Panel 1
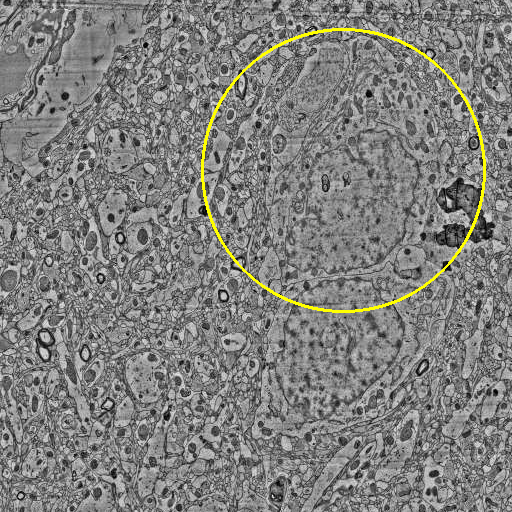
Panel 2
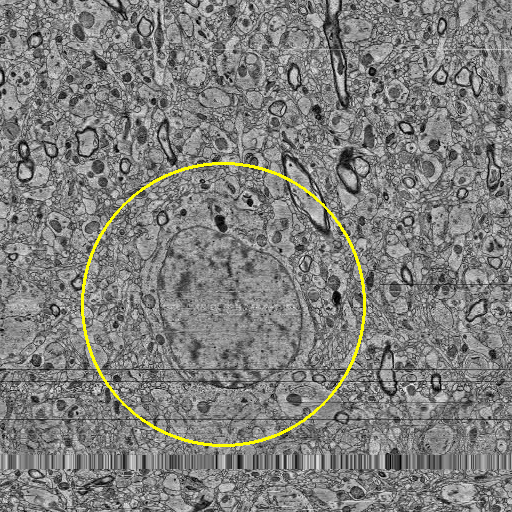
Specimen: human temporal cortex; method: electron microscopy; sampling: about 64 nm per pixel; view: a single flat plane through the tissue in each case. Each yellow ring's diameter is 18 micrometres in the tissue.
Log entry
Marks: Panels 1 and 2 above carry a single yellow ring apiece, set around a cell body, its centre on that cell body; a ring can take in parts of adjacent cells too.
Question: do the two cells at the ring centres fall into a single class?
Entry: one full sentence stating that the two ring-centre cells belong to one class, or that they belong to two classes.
The two ring-centre cells in Panels 1 and 2 belong to one class.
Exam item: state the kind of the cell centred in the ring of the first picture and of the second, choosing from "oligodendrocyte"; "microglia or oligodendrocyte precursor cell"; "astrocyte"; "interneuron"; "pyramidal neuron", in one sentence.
Both pictures show an interneuron at the centre of the ring.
